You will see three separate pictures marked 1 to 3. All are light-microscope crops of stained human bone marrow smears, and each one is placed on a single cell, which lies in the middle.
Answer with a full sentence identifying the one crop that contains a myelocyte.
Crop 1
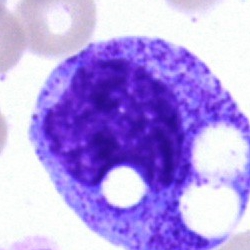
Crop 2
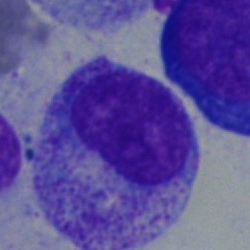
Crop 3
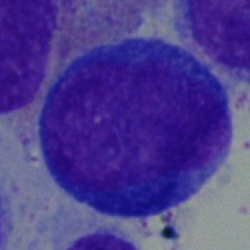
Crop 2 shows a myelocyte, and no other crop does.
